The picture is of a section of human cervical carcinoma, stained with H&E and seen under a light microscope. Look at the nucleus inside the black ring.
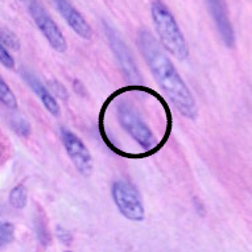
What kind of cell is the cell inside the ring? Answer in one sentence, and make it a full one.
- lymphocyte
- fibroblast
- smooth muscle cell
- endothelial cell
The identity of the cell inside the ring is that of a smooth muscle cell.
